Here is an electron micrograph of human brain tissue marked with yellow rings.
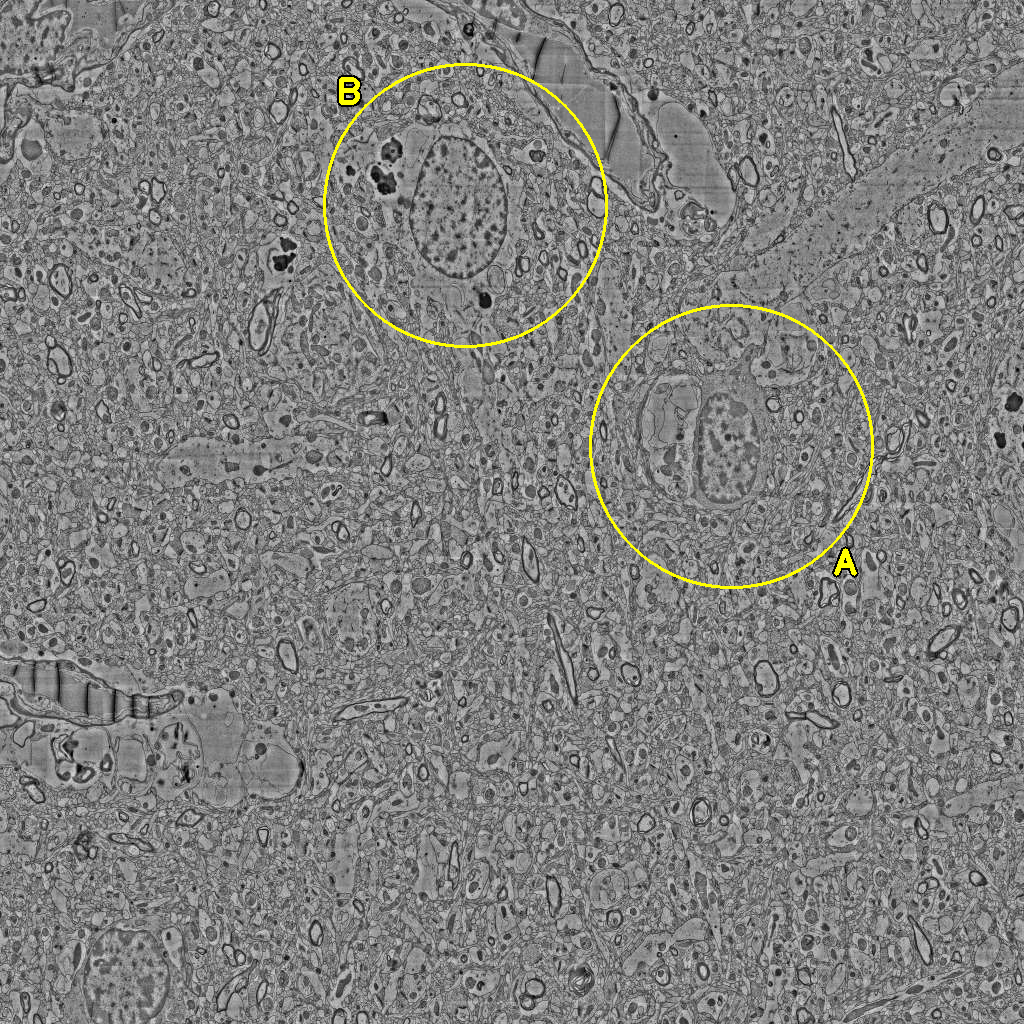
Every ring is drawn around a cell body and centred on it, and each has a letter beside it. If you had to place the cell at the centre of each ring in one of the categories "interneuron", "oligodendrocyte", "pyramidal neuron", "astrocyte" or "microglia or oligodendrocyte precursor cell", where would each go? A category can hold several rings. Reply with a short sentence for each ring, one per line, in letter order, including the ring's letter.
The centre of ring A holds a microglial cell or oligodendrocyte precursor cell.
The centre of ring B holds an astrocyte.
